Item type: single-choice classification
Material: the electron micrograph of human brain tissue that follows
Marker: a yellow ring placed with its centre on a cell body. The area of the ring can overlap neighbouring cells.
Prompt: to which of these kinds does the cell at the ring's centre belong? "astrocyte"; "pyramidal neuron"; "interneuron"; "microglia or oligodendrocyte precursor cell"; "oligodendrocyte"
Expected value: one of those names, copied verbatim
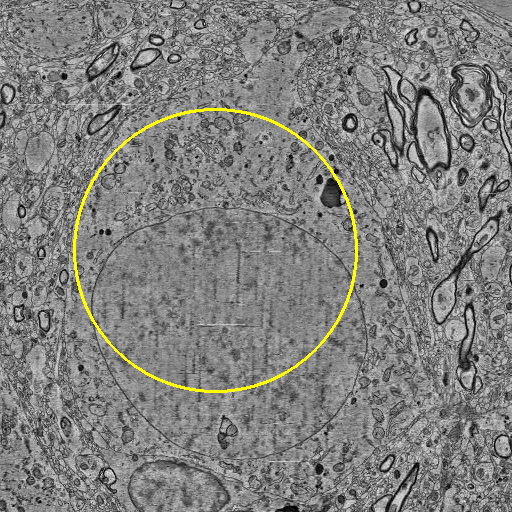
pyramidal neuron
